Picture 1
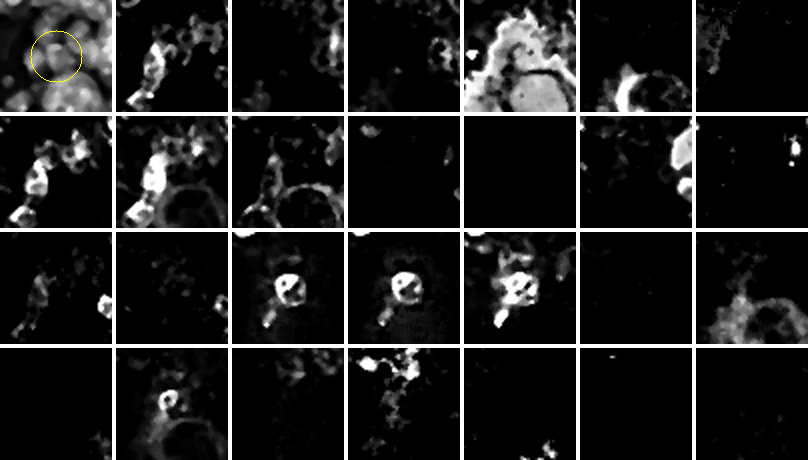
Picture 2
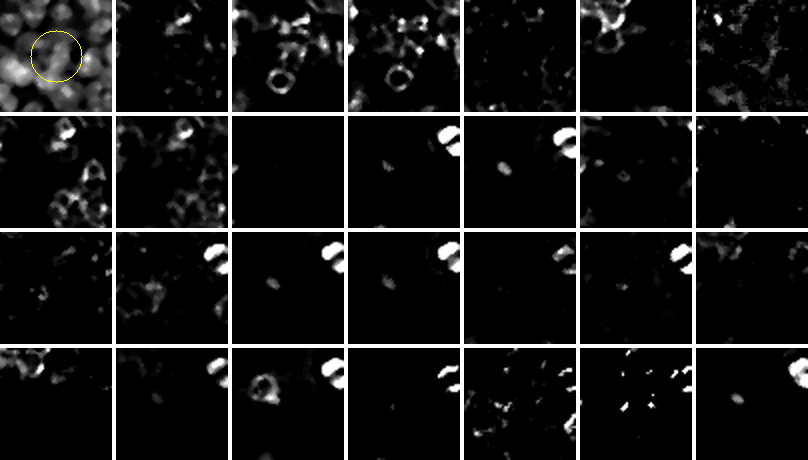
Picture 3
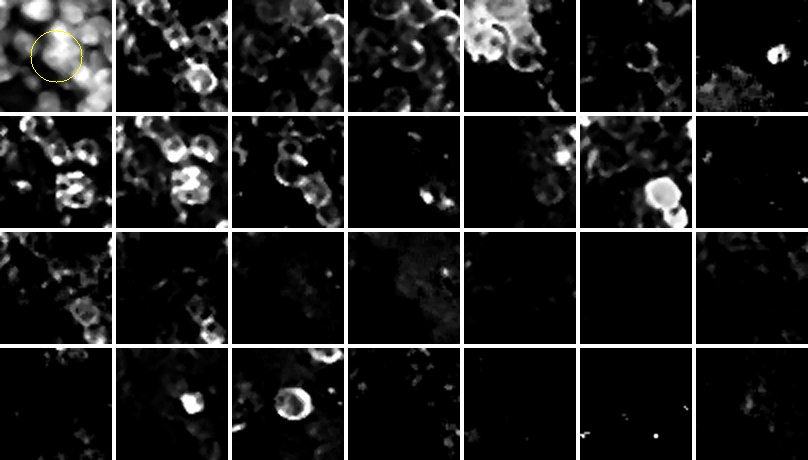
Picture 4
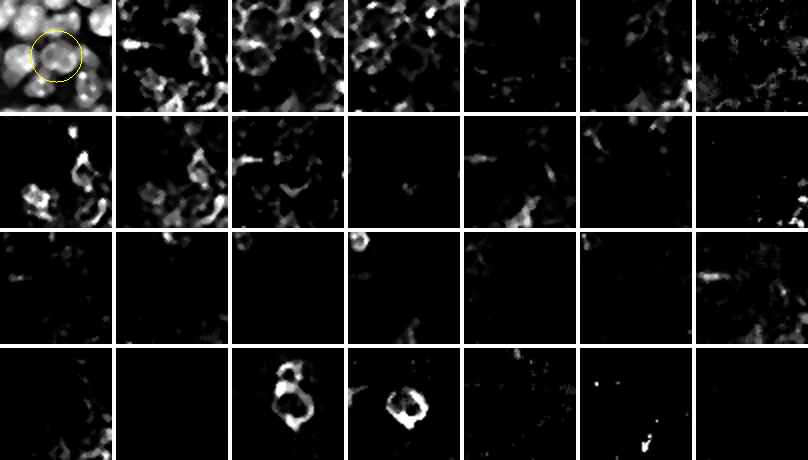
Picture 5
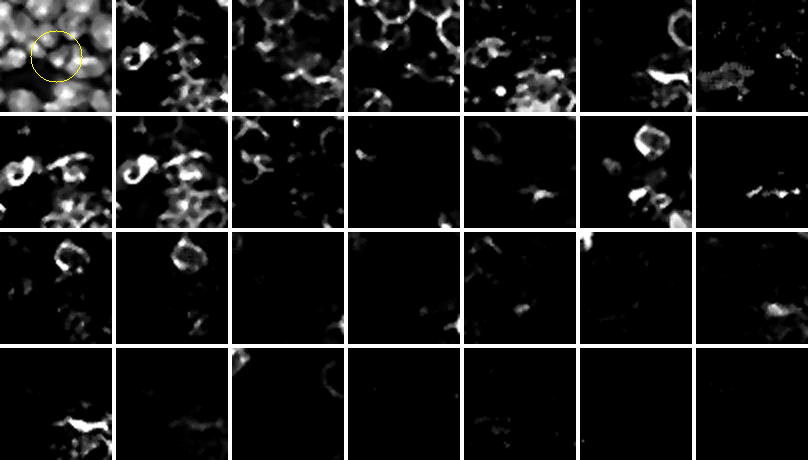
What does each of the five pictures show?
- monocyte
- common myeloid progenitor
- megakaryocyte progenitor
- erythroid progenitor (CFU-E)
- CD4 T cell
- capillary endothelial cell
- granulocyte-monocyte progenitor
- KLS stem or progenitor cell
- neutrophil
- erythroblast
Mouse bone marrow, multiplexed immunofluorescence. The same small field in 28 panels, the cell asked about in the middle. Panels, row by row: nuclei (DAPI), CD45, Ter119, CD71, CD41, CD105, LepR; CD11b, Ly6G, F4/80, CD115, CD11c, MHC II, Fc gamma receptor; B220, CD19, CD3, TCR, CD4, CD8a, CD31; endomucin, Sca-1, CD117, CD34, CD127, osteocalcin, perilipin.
(1) CD4 T cell
(2) erythroblast
(3) erythroid progenitor (CFU-E)
(4) common myeloid progenitor
(5) neutrophil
